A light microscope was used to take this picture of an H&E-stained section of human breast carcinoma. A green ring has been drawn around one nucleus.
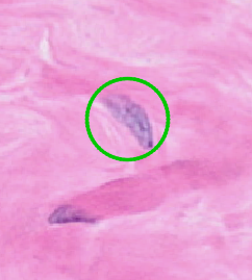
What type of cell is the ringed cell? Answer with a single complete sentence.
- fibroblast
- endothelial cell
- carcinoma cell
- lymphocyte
It is as a fibroblast that the ringed cell is classified.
